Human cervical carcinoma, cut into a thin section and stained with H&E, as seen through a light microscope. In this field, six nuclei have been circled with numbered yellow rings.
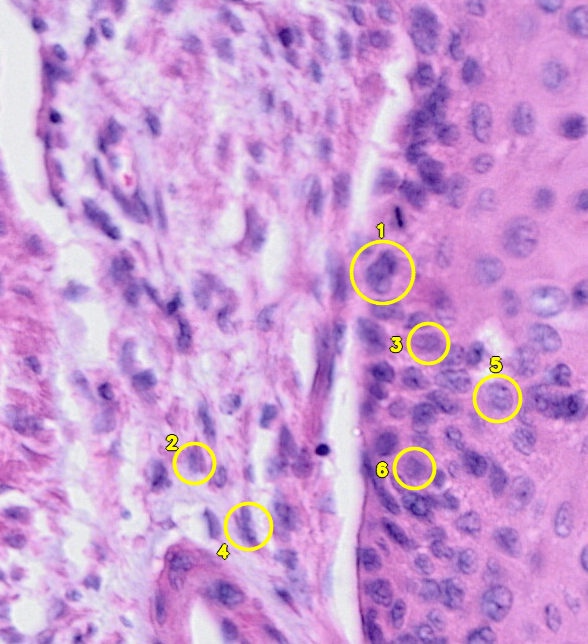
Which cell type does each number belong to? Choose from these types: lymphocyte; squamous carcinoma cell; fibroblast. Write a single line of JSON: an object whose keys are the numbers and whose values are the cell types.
{"1": "squamous carcinoma cell", "2": "fibroblast", "3": "squamous carcinoma cell", "4": "fibroblast", "5": "squamous carcinoma cell", "6": "squamous carcinoma cell"}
